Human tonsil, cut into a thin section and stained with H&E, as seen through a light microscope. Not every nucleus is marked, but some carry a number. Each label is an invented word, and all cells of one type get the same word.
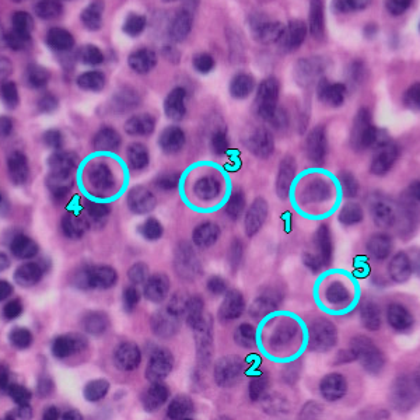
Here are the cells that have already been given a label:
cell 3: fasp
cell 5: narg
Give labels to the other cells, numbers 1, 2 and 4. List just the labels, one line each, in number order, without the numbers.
narg
narg
fasp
